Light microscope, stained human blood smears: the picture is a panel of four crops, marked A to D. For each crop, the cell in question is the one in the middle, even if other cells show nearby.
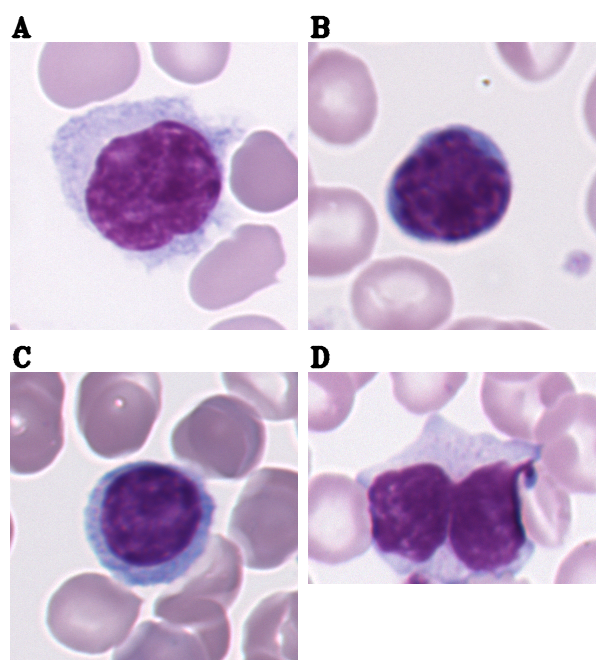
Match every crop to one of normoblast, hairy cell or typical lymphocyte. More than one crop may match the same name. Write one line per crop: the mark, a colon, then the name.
A: hairy cell
B: typical lymphocyte
C: typical lymphocyte
D: typical lymphocyte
